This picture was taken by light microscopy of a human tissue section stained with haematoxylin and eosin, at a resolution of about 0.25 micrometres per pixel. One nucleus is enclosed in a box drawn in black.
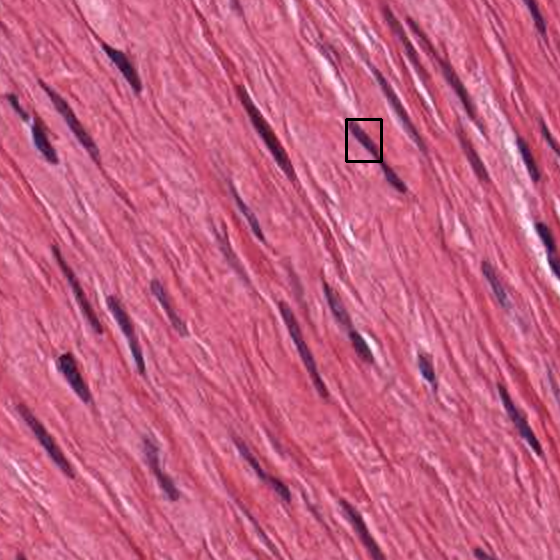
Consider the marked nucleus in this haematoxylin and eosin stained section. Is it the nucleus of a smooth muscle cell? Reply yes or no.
yes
